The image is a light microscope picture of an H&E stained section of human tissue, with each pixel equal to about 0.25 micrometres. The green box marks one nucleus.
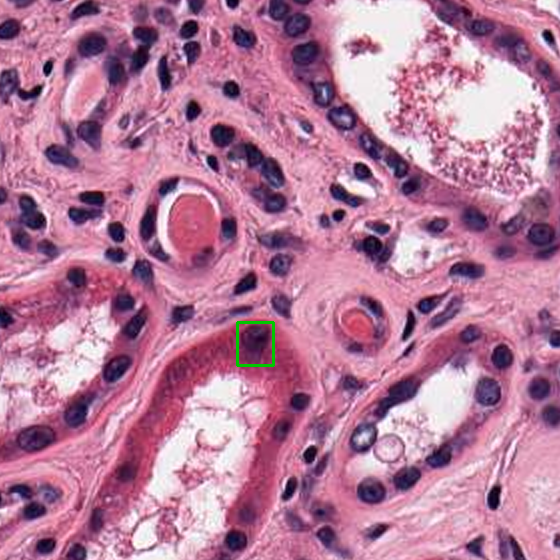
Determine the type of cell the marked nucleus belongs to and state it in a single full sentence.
As shown here, the nucleus that is marked is that of a proximal tubule cell.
